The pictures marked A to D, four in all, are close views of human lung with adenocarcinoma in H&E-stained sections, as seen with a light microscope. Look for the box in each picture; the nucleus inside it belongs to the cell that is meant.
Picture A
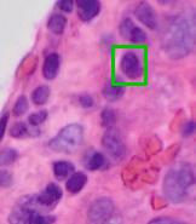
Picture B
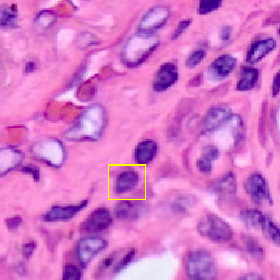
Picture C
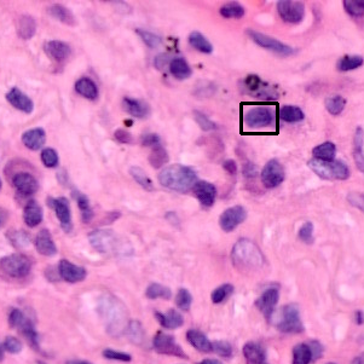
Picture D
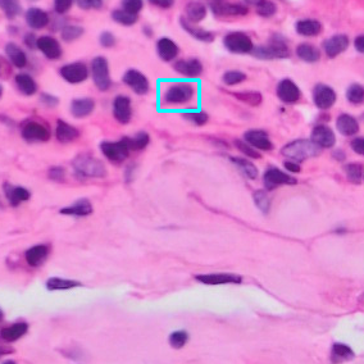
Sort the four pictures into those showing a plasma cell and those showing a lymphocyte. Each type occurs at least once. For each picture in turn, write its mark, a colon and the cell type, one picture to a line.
A: lymphocyte
B: plasma cell
C: lymphocyte
D: lymphocyte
